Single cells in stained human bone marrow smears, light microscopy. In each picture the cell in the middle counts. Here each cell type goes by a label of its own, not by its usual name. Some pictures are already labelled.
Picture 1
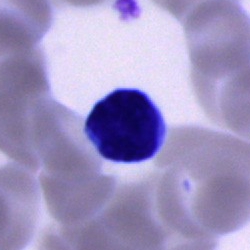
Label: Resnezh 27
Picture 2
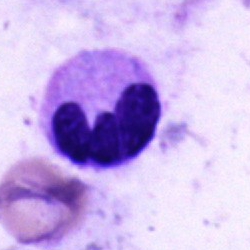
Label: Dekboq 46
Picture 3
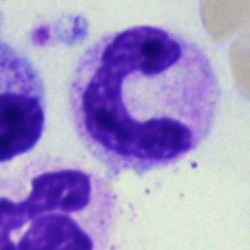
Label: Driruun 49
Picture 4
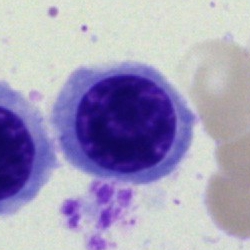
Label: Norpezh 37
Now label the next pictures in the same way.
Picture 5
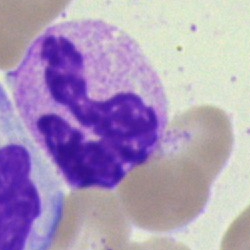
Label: Dekboq 46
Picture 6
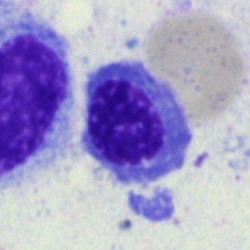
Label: Norpezh 37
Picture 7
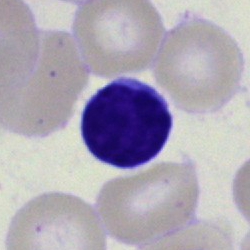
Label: Resnezh 27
